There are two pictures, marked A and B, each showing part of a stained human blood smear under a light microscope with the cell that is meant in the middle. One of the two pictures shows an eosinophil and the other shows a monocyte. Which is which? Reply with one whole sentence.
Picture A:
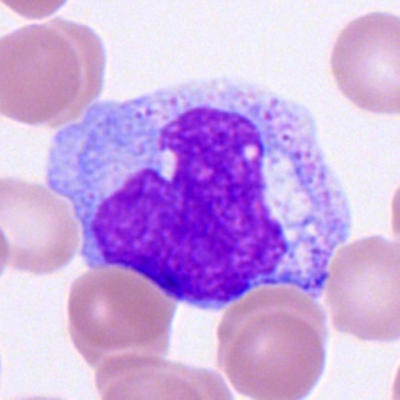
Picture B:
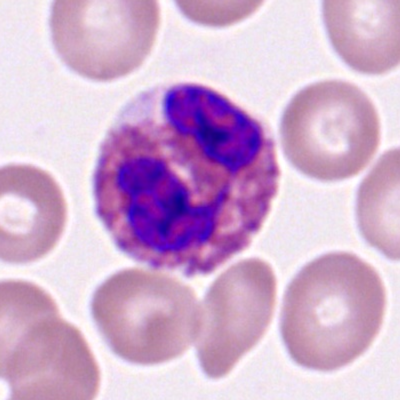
It is picture A that shows a monocyte, and picture B that shows an eosinophil.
